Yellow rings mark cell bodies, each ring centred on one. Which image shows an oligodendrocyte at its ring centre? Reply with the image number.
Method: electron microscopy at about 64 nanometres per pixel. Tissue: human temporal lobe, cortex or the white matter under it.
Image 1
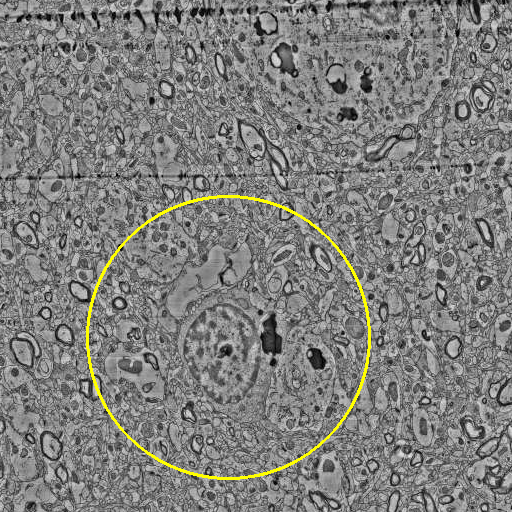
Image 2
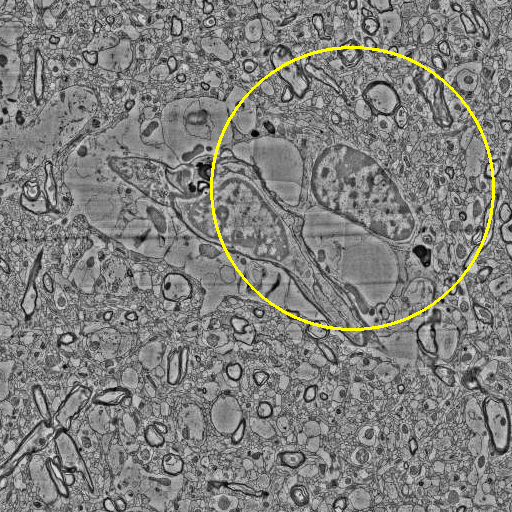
1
